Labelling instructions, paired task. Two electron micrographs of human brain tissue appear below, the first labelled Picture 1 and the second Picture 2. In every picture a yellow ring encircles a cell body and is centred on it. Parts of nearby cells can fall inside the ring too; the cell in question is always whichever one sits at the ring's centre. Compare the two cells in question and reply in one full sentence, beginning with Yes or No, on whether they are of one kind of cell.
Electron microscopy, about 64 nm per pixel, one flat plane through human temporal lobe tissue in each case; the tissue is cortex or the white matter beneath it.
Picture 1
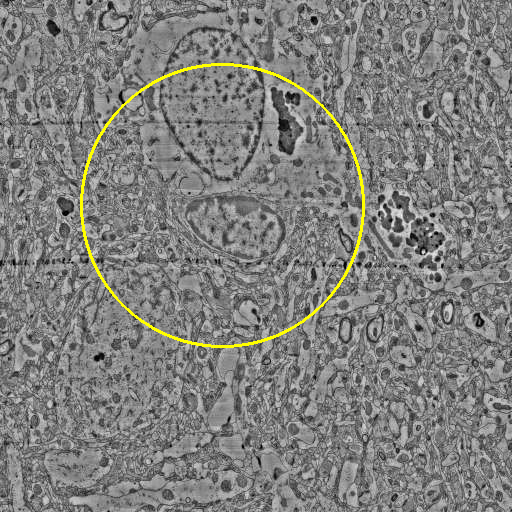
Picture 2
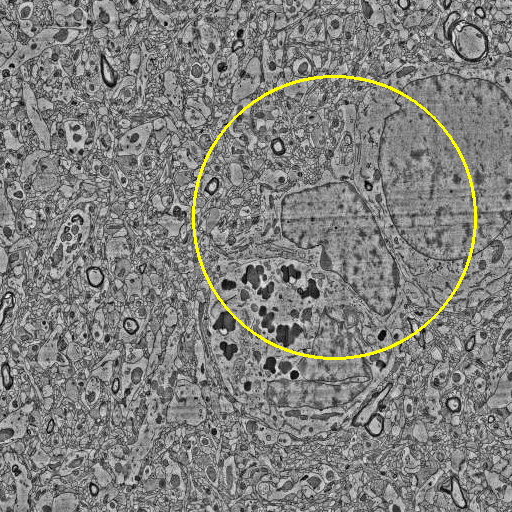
Yes, the two cells at the ring centres in Picture 1 and Picture 2 are of one kind.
